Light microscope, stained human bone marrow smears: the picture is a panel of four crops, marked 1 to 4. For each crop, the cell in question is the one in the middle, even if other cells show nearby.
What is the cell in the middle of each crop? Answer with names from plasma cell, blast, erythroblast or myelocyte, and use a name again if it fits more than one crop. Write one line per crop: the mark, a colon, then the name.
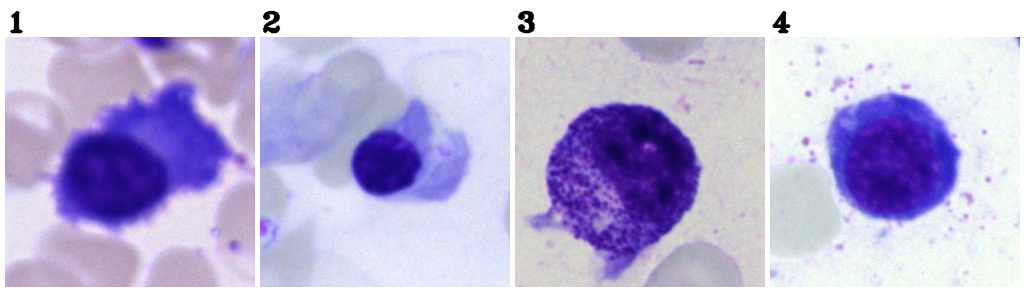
1: plasma cell
2: erythroblast
3: myelocyte
4: erythroblast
